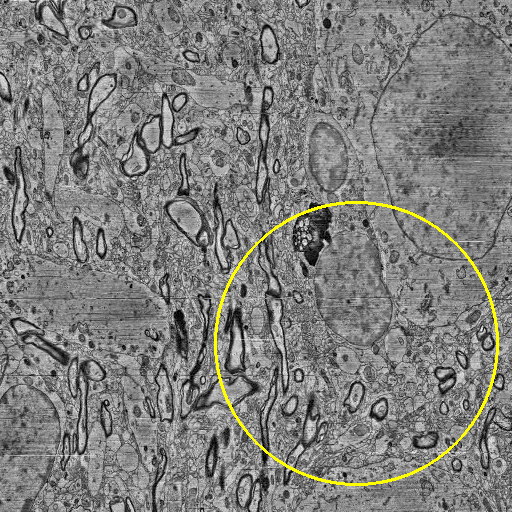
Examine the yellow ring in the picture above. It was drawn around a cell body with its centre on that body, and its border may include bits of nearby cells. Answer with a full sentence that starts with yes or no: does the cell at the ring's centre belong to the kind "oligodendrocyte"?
Yes, the cell at the heart of the ring shown in the image is of that kind.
